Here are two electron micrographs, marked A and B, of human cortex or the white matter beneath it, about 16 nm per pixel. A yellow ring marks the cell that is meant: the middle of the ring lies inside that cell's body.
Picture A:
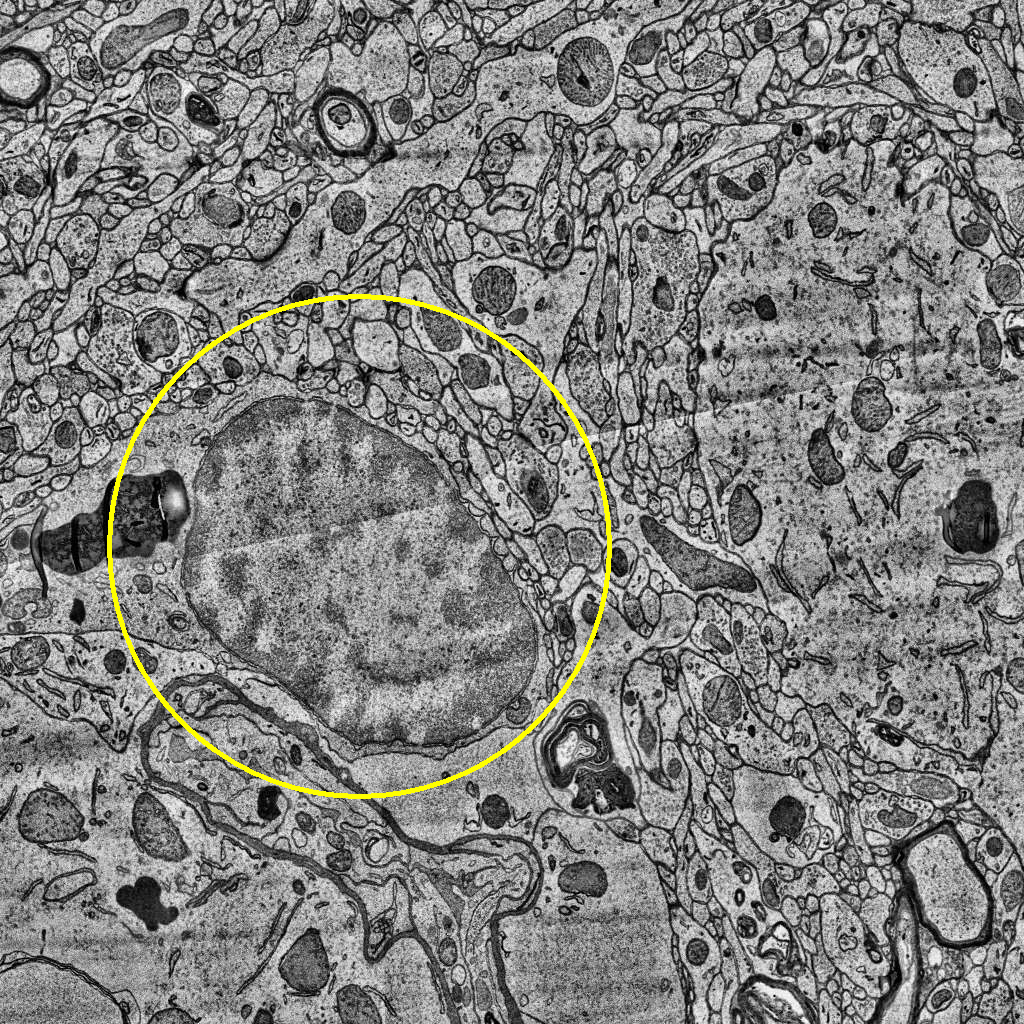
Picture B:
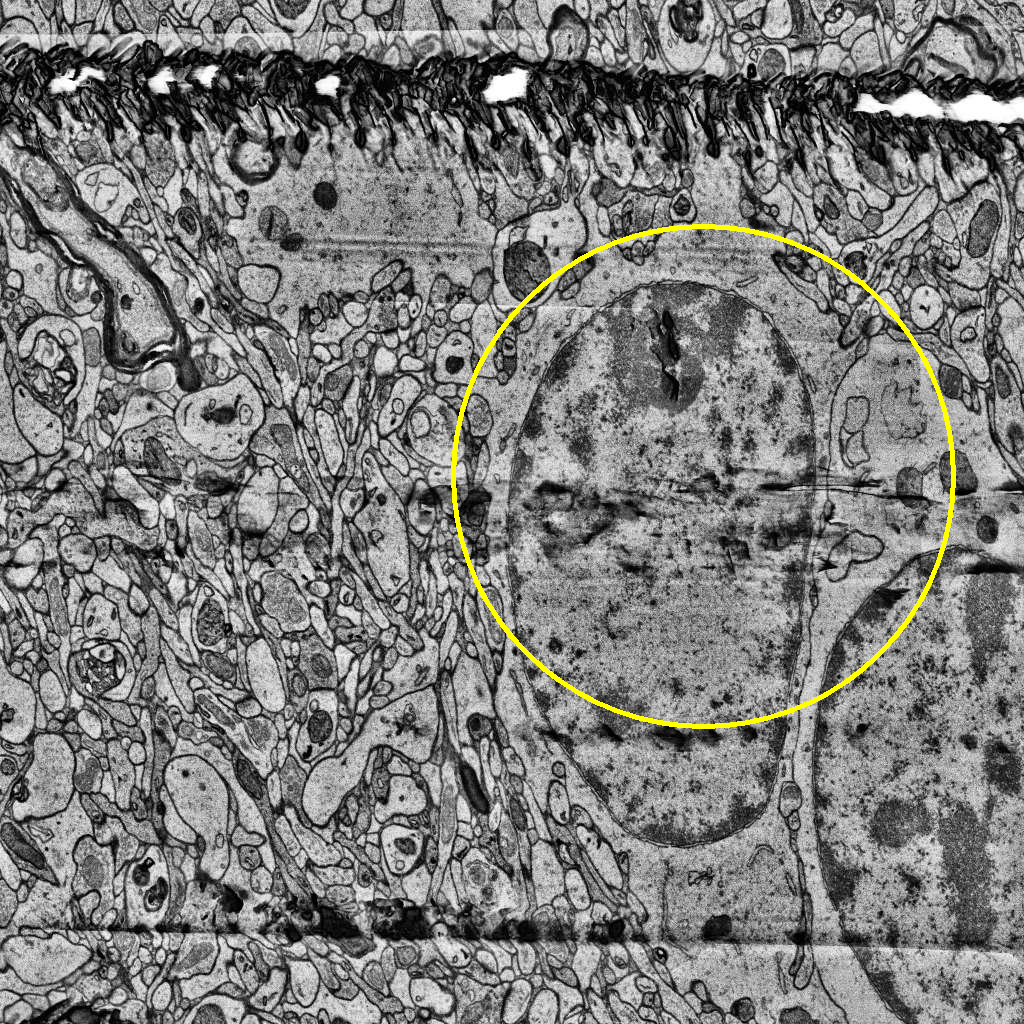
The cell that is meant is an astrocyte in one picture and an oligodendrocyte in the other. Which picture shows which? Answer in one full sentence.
In picture A the cell is an oligodendrocyte; in picture B, an astrocyte.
